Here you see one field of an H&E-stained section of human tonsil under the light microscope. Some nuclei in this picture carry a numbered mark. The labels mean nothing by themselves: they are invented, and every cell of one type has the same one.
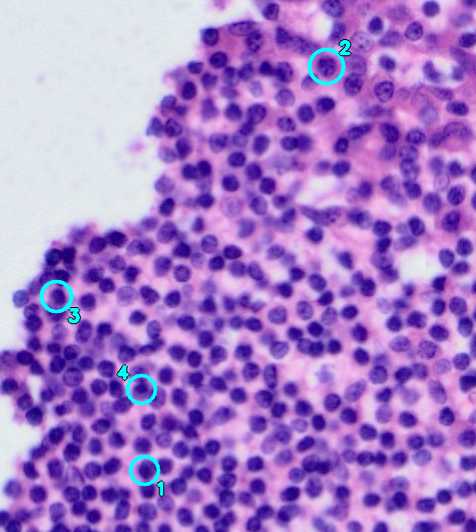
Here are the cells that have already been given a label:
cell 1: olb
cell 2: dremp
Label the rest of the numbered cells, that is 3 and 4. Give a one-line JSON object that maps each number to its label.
{"3": "olb", "4": "olb"}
